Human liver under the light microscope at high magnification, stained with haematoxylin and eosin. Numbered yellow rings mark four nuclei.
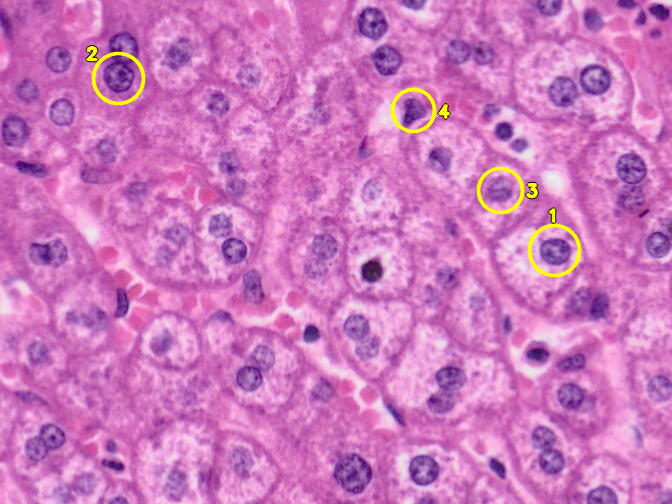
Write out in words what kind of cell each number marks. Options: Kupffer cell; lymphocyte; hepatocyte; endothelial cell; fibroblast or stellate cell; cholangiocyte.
Cell 1 is a hepatocyte, cell 2 is a hepatocyte, cell 3 is a hepatocyte and cell 4 is a Kupffer cell.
